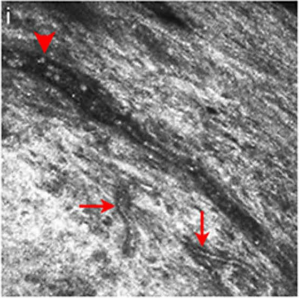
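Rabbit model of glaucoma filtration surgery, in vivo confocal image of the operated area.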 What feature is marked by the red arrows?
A: Fine vasculature.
